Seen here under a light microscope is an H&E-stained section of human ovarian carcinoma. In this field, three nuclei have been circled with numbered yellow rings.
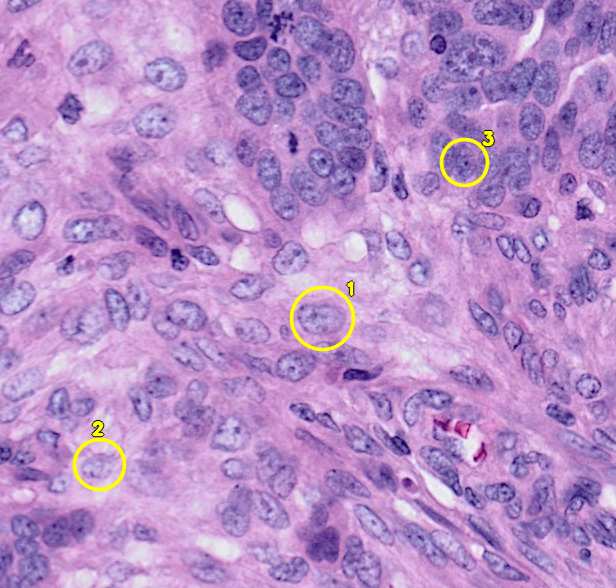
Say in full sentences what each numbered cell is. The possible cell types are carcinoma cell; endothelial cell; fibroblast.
Cell 1 is a fibroblast, cell 2 is a fibroblast and cell 3 is a carcinoma cell.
